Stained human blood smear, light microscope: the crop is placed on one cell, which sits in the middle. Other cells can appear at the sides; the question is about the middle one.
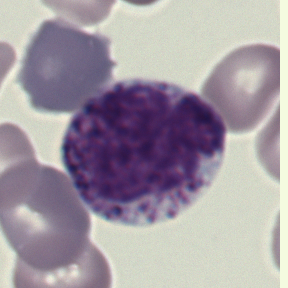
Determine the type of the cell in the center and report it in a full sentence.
Here the cell in the middle is a basophil.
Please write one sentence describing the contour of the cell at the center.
Smooth outline, no projections: that is the whole story of its edge.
